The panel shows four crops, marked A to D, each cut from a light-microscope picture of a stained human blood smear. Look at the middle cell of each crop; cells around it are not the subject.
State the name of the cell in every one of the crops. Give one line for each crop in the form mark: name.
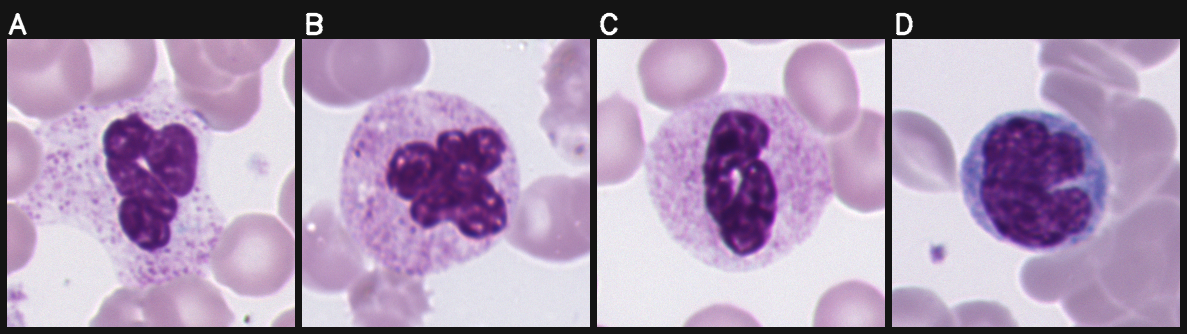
A: segmented neutrophil
B: segmented neutrophil
C: segmented neutrophil
D: monocyte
